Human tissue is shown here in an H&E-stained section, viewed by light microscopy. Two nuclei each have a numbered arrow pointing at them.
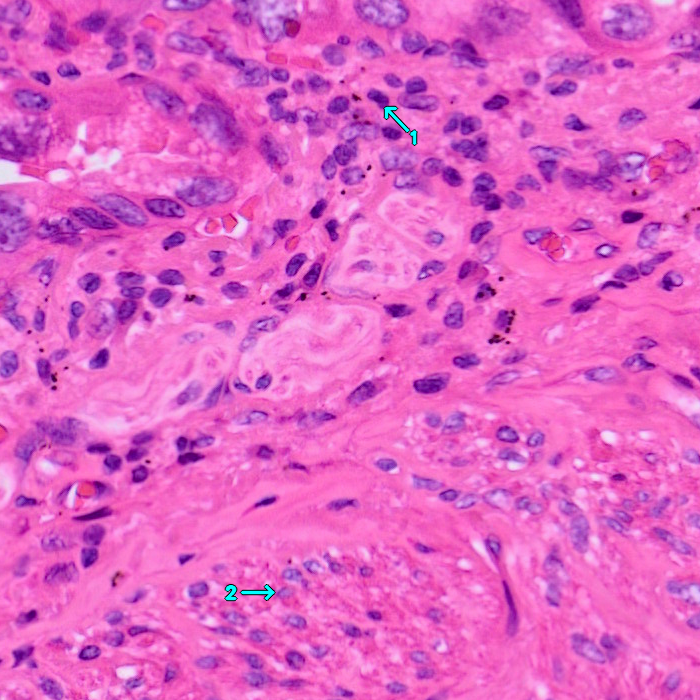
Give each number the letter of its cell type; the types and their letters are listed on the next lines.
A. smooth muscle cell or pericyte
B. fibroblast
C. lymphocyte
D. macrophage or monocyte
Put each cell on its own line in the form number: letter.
1: C
2: A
